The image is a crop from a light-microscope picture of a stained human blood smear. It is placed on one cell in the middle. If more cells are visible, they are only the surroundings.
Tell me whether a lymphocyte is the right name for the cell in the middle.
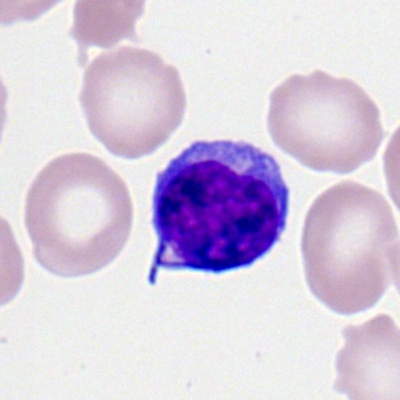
yes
